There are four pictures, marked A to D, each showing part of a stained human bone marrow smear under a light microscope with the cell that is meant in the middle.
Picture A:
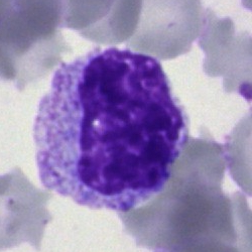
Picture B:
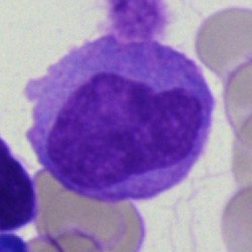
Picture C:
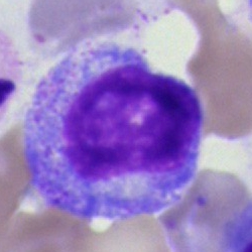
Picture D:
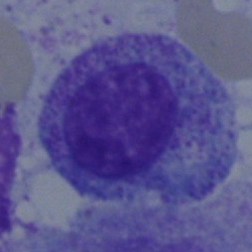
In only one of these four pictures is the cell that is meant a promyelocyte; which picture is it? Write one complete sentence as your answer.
It is picture C that shows the promyelocyte.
